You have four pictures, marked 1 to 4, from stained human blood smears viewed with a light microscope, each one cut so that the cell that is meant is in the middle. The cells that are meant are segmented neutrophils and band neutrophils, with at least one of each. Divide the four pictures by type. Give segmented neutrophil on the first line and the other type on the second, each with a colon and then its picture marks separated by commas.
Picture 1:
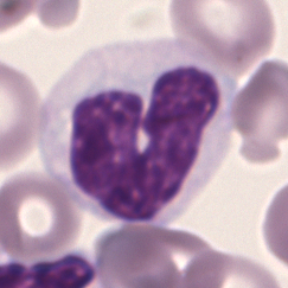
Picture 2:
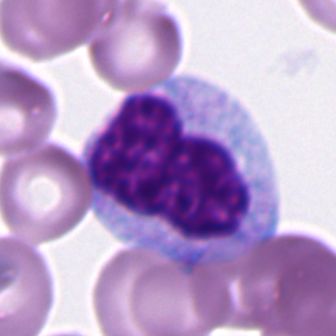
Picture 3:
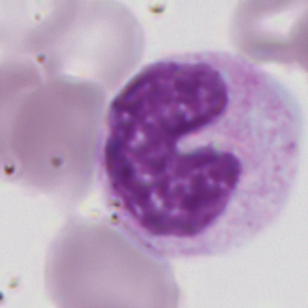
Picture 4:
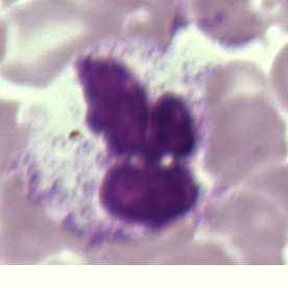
segmented neutrophil: 4
band neutrophil: 1, 2, 3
